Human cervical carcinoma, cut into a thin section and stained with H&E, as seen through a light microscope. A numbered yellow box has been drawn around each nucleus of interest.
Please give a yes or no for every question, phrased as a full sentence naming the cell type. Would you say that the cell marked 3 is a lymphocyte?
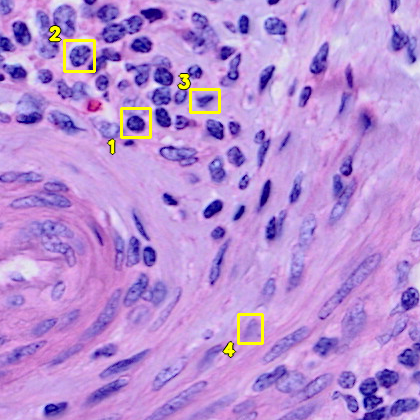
No, the cell indicated by 3 is a fibroblast instead of a lymphocyte.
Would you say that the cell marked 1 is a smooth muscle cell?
No, cell number 1 is a lymphocyte; it is not a smooth muscle cell.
